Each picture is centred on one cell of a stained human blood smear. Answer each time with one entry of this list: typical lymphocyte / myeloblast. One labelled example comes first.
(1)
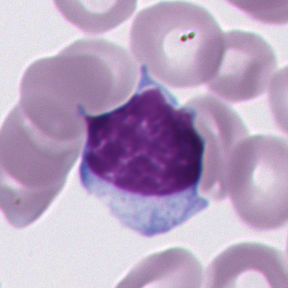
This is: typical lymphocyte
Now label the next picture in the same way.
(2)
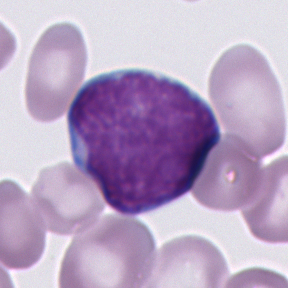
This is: myeloblast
